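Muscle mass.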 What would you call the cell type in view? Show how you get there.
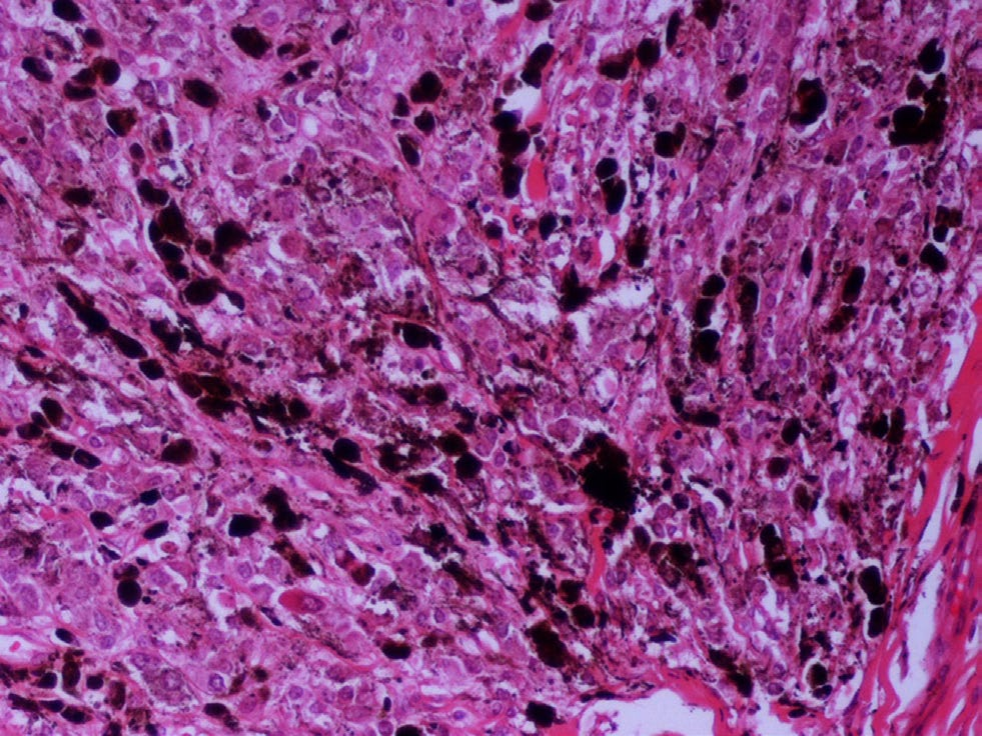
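Melanocytes. Sheets of densely packed cells fill the field. Many cells contain dark brown to black pigment in their cytoplasm.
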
